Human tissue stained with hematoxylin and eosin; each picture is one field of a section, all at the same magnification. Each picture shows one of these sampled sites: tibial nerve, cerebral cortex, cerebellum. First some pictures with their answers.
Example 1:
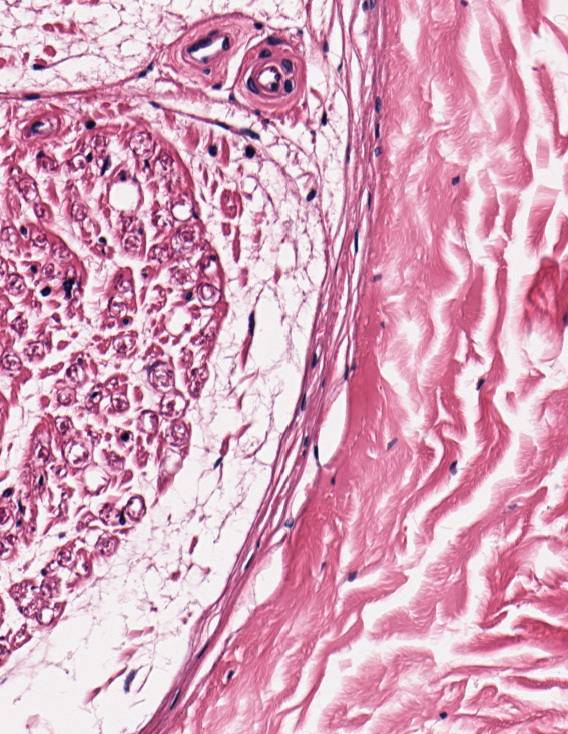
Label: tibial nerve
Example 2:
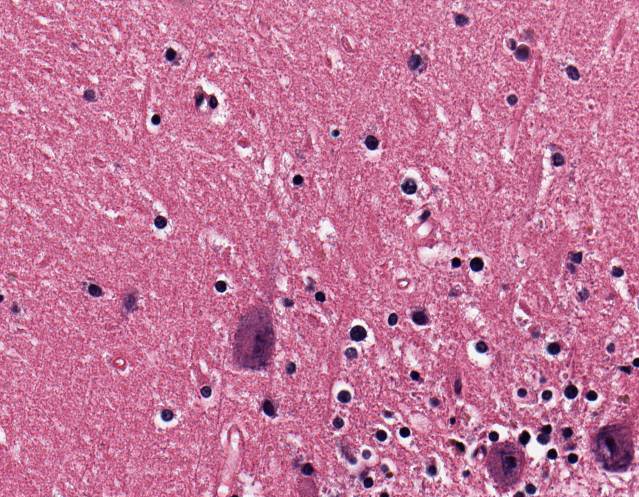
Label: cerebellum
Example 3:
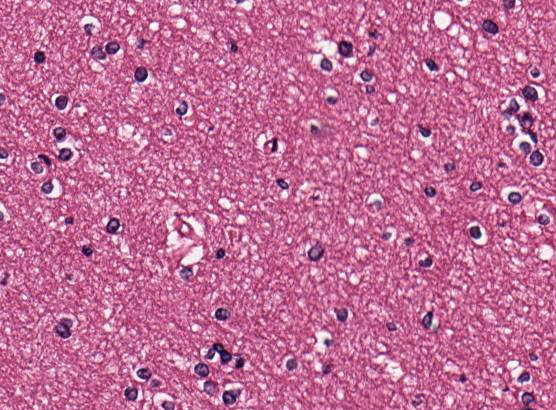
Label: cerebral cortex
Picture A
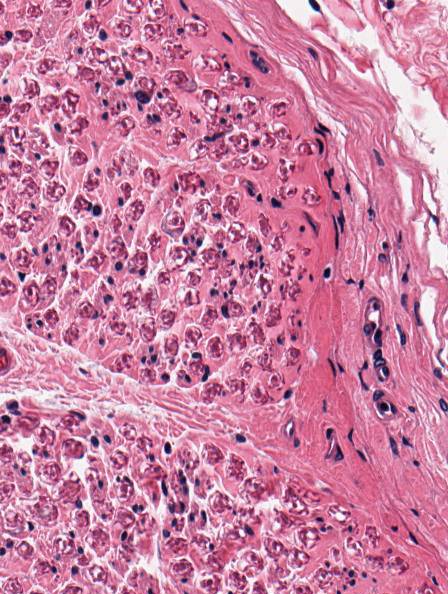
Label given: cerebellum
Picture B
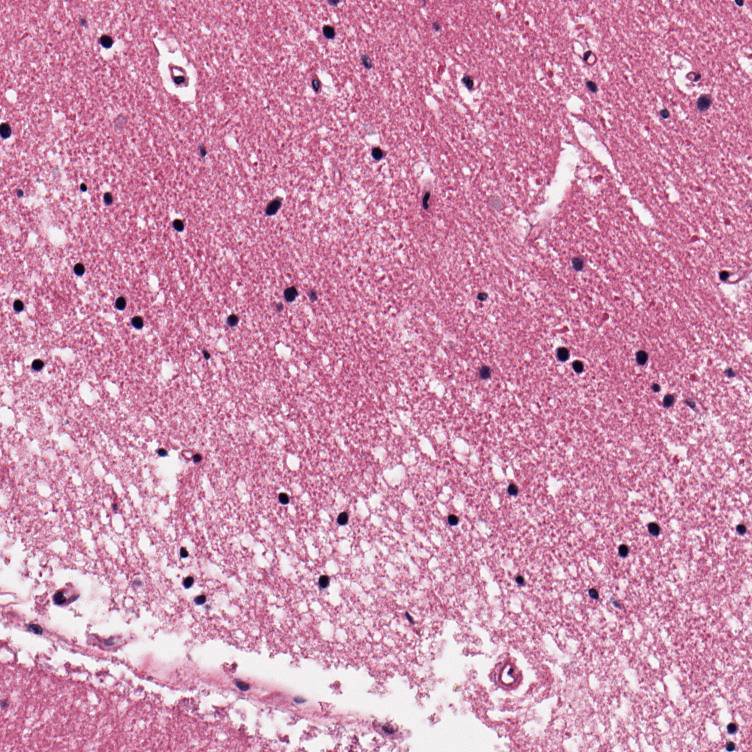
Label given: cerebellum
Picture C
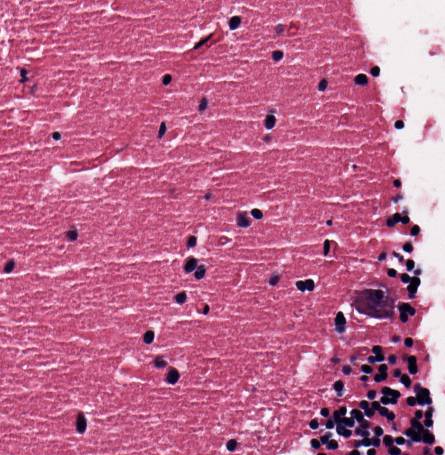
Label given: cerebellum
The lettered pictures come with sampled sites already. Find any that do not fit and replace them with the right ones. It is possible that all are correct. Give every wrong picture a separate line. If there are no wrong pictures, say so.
A is labelled cerebellum; correct label: tibial nerve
